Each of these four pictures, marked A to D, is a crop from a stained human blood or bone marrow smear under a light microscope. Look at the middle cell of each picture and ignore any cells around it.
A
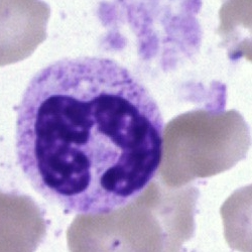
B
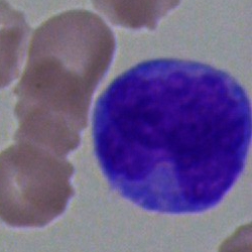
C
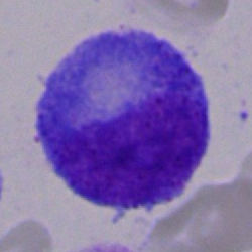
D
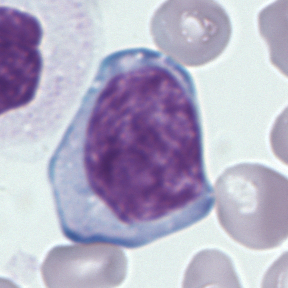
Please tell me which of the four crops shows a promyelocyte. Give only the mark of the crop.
C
